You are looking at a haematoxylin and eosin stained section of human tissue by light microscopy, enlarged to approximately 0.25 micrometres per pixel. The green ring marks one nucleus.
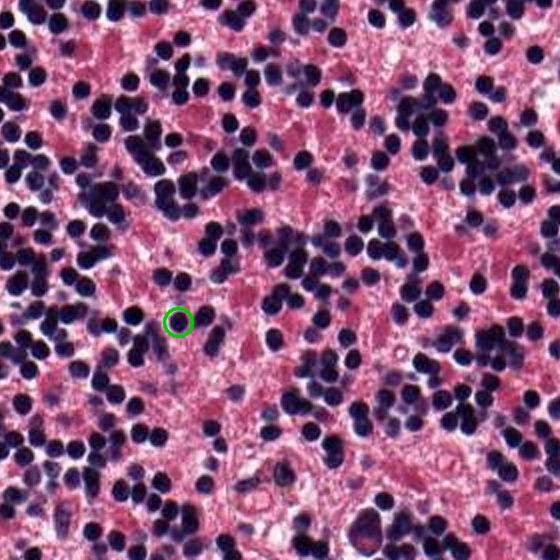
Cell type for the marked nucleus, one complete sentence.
It is to a cerebellar granule cell that the marked nucleus belongs.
